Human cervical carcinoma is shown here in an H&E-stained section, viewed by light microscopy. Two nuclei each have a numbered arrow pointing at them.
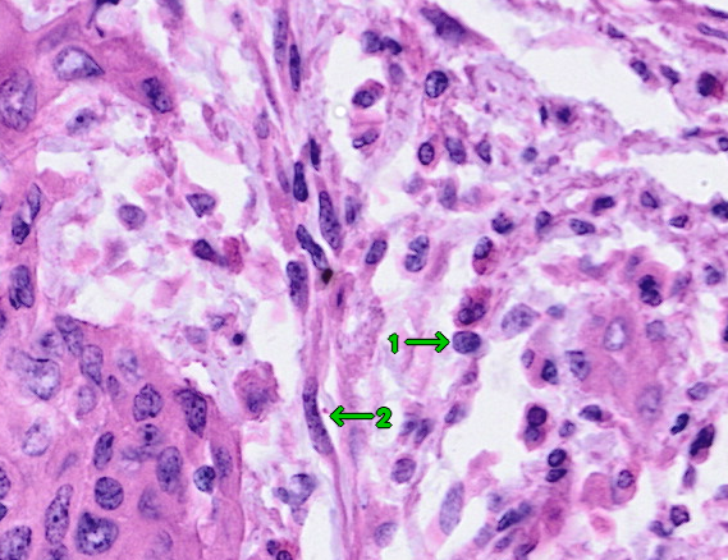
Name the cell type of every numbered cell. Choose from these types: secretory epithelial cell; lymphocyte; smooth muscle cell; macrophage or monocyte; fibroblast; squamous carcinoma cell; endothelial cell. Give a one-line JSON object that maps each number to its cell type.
{"1": "lymphocyte", "2": "fibroblast"}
